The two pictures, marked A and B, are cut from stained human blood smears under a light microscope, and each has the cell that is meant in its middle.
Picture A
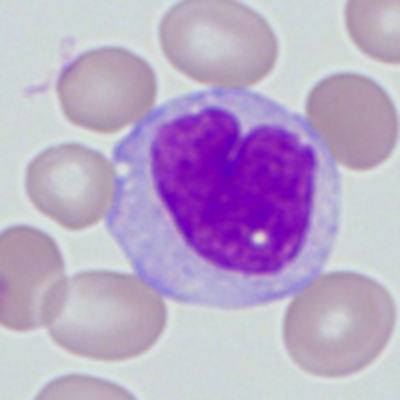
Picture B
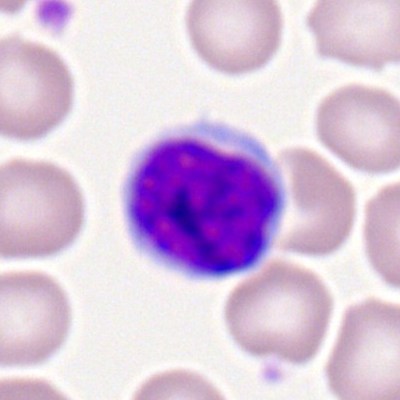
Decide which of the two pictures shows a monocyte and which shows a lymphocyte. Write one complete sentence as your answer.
Picture B shows a lymphocyte, while picture A shows a monocyte.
